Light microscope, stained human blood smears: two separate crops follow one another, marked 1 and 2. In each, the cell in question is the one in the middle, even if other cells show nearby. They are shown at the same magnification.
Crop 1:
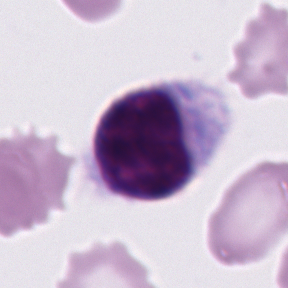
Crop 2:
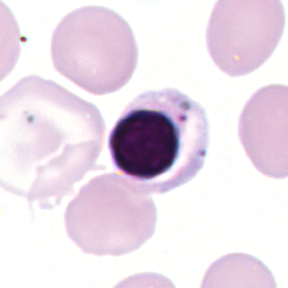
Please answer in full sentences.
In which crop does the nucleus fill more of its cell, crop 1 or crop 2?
Of the two, the nucleus in crop 1 makes up the greater part of its cell.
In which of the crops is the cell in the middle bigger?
Crop 1 holds the larger cell; it covers about 1.5 times the area of the cell in crop 2.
